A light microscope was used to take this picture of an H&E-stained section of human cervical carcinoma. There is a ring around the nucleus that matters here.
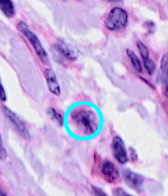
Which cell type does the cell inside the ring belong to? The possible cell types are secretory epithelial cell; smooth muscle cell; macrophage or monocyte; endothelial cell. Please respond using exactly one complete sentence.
It is a macrophage or monocyte that the cell inside the ring represents.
